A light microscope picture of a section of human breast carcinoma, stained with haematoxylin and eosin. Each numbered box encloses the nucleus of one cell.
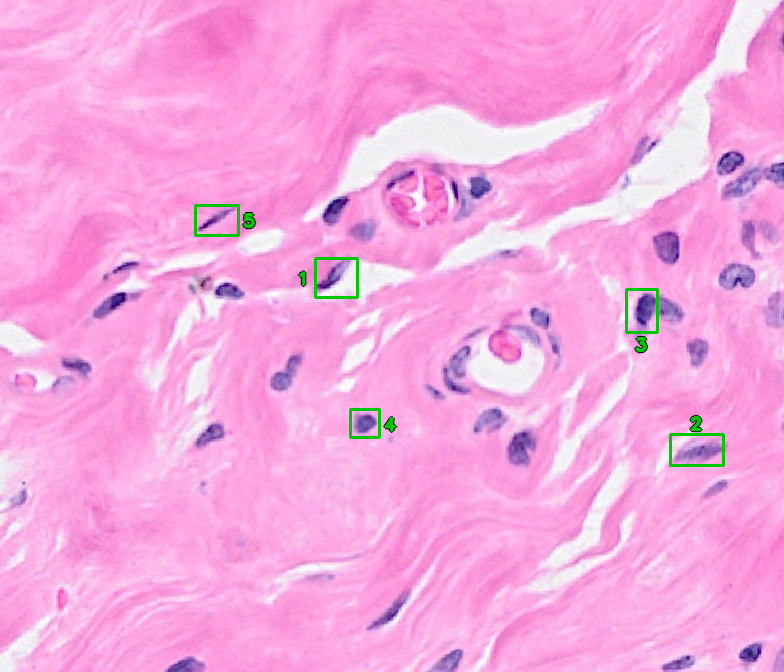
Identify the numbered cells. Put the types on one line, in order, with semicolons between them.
fibroblast; fibroblast; lymphocyte; lymphocyte; fibroblast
